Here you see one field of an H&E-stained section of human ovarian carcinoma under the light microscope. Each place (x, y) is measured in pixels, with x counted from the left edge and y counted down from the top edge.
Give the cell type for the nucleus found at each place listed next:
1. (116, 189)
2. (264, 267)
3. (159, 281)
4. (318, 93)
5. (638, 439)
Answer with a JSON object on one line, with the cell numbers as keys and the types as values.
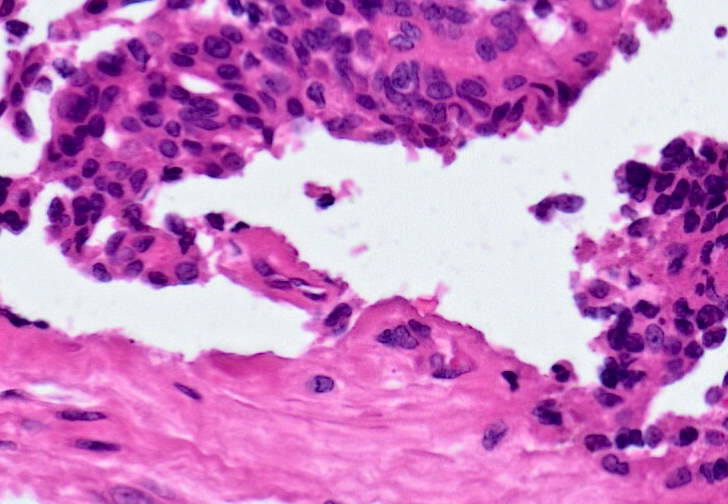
{"1": "carcinoma cell", "2": "endothelial cell", "3": "carcinoma cell", "4": "macrophage or monocyte", "5": "carcinoma cell"}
